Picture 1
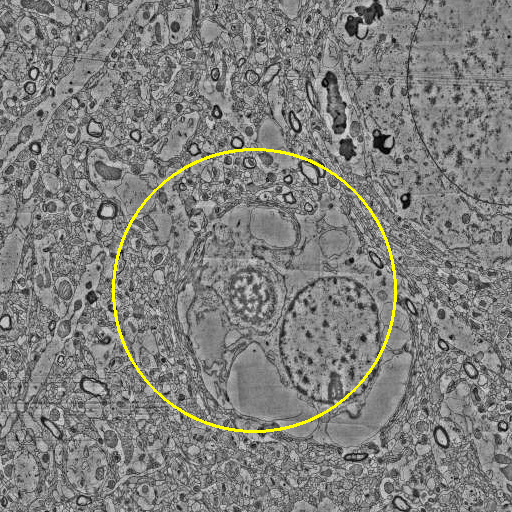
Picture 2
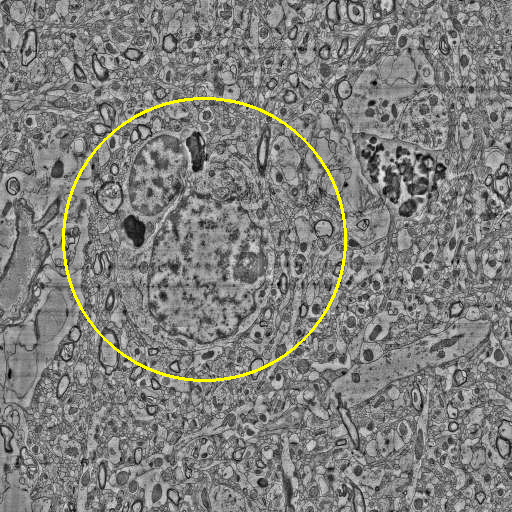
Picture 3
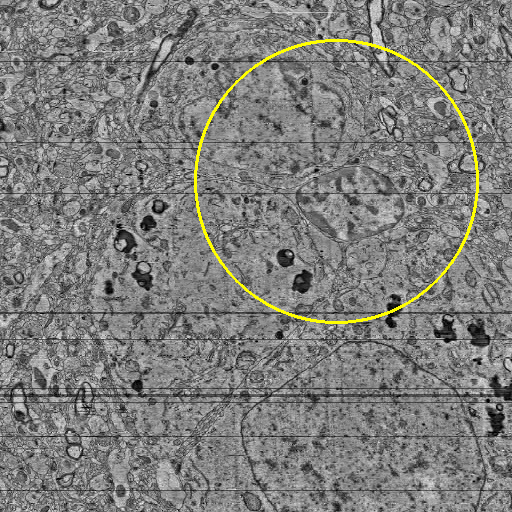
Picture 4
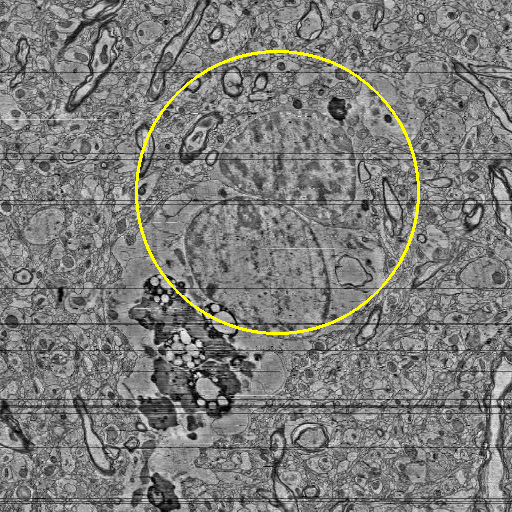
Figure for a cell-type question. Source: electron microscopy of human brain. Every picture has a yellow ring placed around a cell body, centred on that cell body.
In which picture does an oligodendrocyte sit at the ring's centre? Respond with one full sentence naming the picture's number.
The cell in the middle of the ring in picture 4 is the one sought.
